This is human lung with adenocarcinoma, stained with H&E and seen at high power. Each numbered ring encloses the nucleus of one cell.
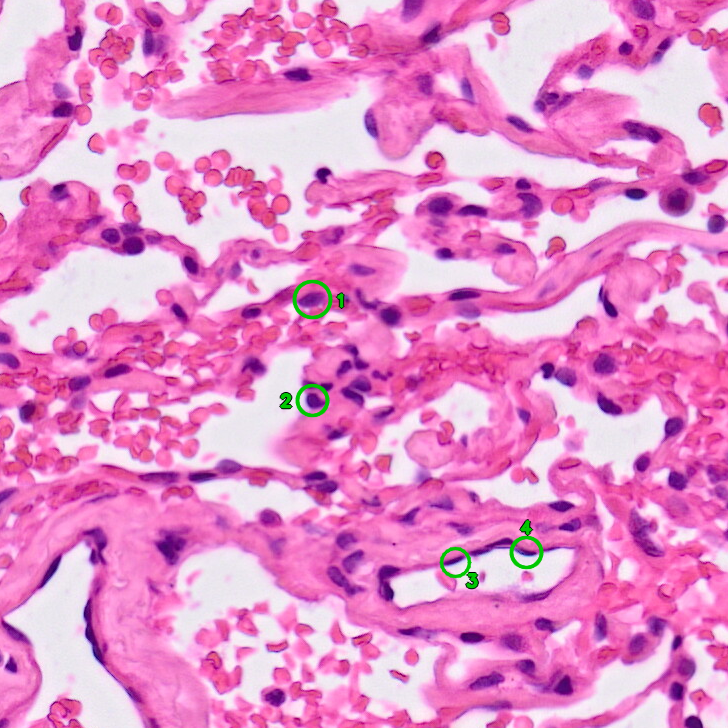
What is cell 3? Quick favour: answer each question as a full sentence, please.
The numbered cell 3 in this field is an endothelial cell.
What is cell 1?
The cell that goes by number 1 is a type I pneumocyte.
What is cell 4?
The nucleus labeled 4 belongs to an endothelial cell.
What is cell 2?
Among the marked nuclei, number 2 belongs to a type I pneumocyte.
